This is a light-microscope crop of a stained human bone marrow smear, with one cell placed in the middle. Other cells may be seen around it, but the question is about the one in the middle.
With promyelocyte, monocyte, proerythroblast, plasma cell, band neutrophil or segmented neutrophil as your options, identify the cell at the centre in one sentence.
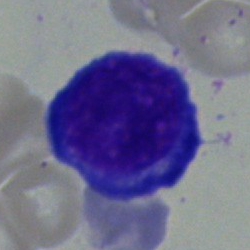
In short, the cell at the center is a proerythroblast.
